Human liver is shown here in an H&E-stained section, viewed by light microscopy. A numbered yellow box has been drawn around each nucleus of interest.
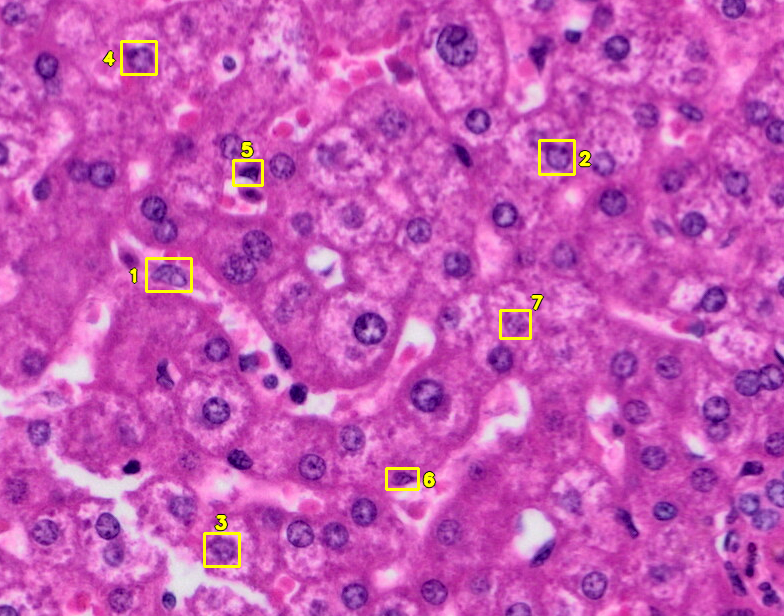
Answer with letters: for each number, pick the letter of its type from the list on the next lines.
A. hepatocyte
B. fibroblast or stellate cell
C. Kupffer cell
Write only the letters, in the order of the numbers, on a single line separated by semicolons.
C; A; A; A; B; B; A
